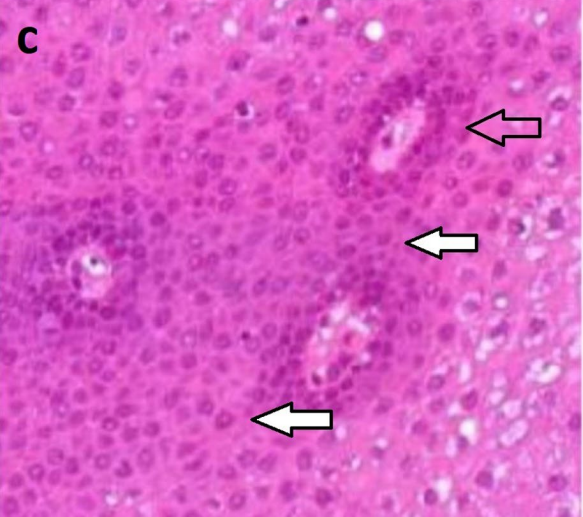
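This is tangentially cut stratified squamous epithelium with several capillaries cut across, each in a small pale lumen. Towards the right the squamous cells grow larger, with pink cytoplasm, clear borders, round nuclei and small clear vacuoles. One lumen holds a little pink material. The cell pattern remains orderly without clear dysplastic atypia.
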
